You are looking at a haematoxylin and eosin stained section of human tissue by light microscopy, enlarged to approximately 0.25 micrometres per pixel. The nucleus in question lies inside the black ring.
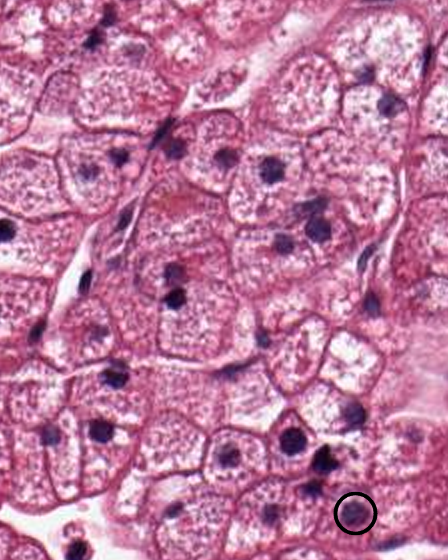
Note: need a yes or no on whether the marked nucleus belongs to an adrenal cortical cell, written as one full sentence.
Yes, it is an adrenal cortical cell to which the marked nucleus belongs.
